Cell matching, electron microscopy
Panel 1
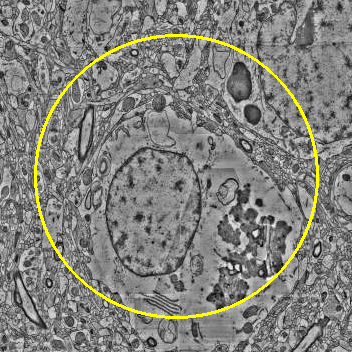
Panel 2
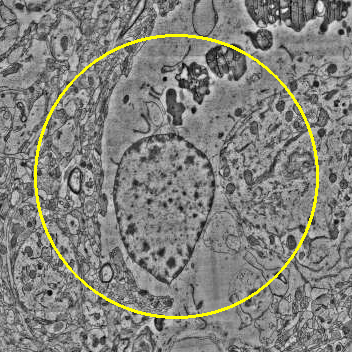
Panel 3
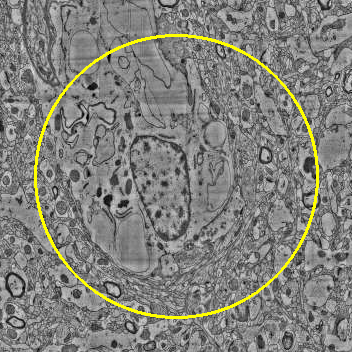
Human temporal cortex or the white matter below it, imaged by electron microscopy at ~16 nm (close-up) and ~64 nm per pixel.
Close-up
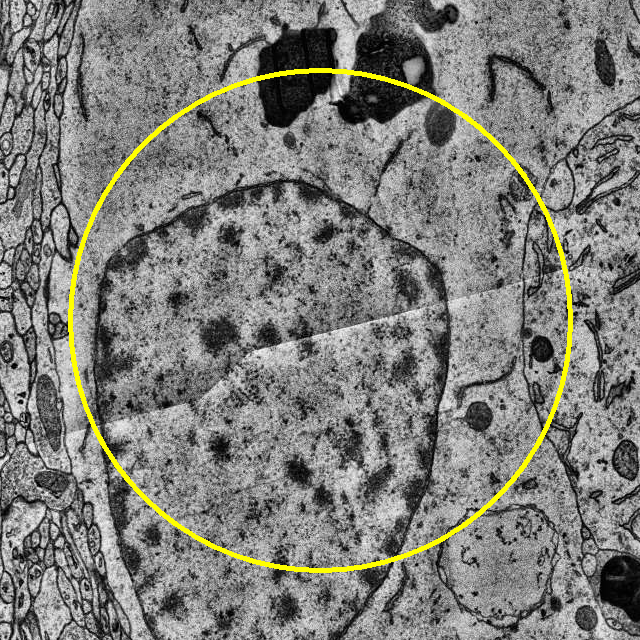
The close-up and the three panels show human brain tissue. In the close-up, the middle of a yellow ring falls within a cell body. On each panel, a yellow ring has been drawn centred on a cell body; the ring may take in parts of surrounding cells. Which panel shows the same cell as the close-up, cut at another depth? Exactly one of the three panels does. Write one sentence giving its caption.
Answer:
The cell pictured in the close-up is ringed in Panel 2.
